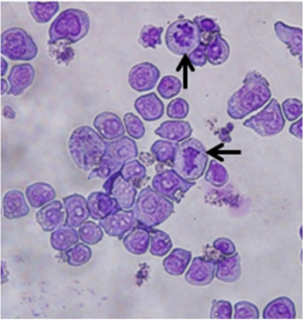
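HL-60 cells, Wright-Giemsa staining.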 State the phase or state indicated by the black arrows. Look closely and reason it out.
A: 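Mitotic cells. The arrowed cells contain irregular dark condensed chromatin masses in place of an intact round nucleus. Surrounding cells show ordinary round to oval nuclei with pale cytoplasm.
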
